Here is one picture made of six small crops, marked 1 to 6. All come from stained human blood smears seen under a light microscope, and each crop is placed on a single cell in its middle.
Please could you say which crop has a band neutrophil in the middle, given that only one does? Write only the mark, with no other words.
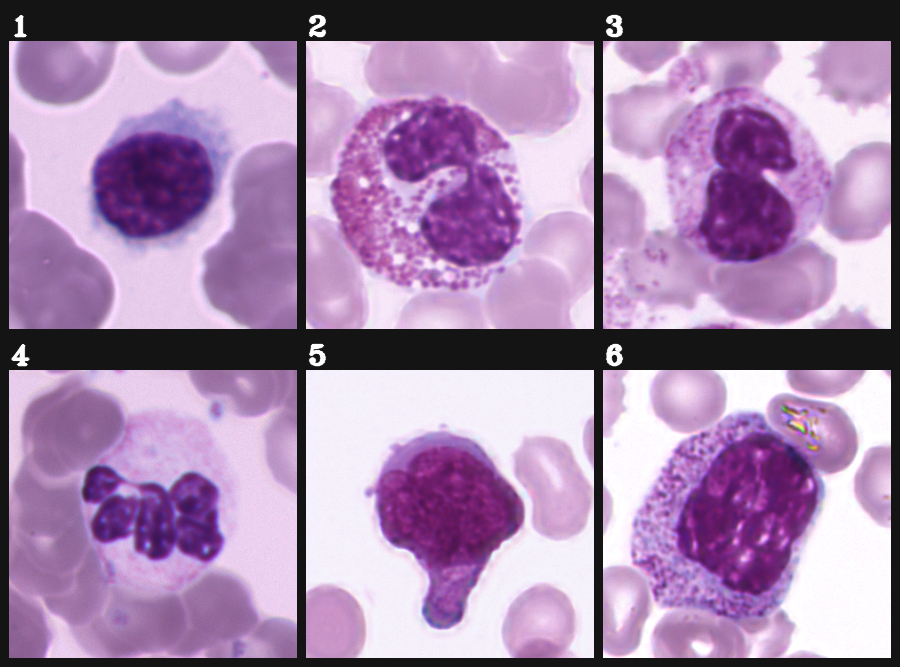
3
